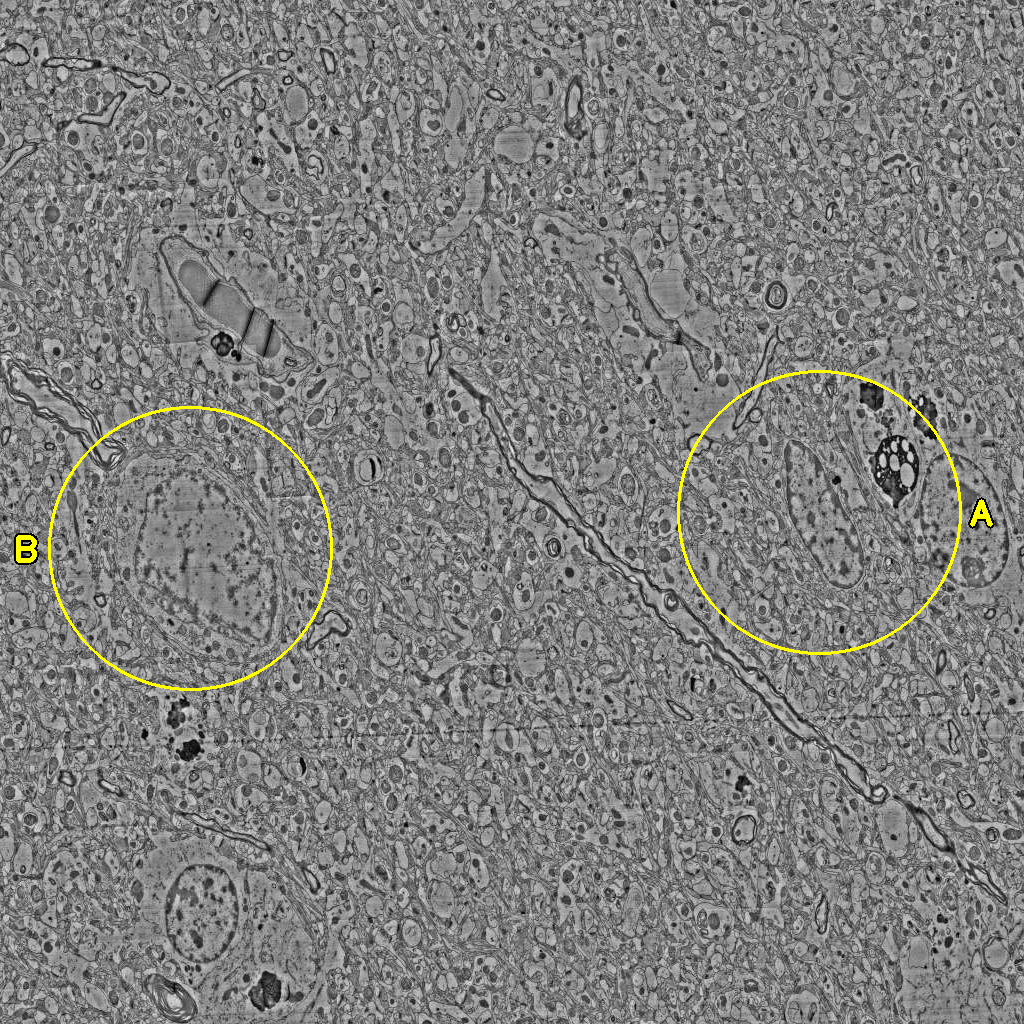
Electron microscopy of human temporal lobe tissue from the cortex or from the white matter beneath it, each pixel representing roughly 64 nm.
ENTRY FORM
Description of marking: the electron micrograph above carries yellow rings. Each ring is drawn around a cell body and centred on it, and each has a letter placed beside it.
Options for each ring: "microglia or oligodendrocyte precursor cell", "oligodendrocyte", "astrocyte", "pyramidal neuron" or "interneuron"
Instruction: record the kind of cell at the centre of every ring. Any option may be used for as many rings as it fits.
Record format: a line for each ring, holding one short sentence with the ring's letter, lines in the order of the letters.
Ring A surrounds the cell body of a microglial cell or oligodendrocyte precursor cell.
Ring B surrounds the cell body of an interneuron.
